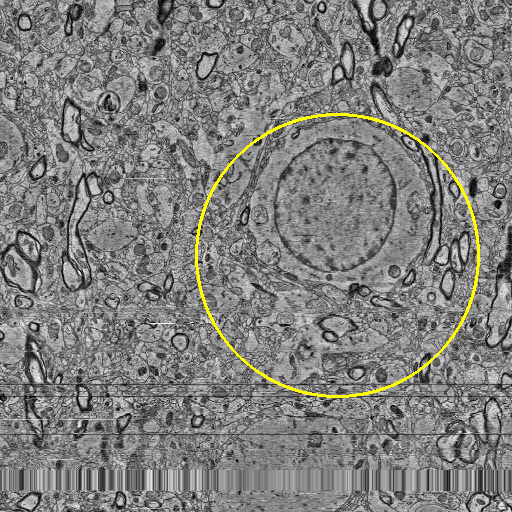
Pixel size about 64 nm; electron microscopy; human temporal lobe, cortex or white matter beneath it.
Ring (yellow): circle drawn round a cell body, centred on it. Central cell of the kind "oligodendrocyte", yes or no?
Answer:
no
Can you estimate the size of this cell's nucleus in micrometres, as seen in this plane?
The nucleus is about 8 micrometres across in this plane.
